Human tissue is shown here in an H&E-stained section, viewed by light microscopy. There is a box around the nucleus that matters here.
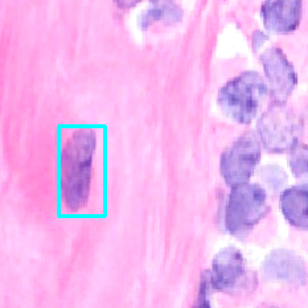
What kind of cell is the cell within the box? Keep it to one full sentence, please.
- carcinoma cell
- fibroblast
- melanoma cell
In this preparation, the cell within the box is a fibroblast.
